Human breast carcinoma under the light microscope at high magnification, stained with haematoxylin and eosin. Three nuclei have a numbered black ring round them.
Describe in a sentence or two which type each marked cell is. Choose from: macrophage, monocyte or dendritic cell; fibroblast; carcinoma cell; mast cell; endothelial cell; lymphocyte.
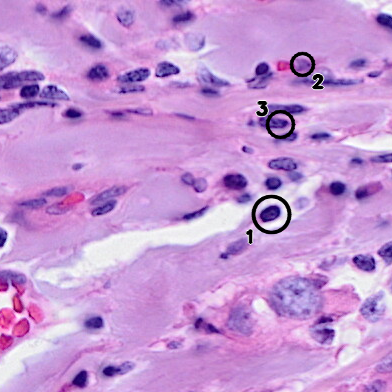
Cell 1 is a lymphocyte, cell 2 is an endothelial cell and cell 3 is a lymphocyte.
